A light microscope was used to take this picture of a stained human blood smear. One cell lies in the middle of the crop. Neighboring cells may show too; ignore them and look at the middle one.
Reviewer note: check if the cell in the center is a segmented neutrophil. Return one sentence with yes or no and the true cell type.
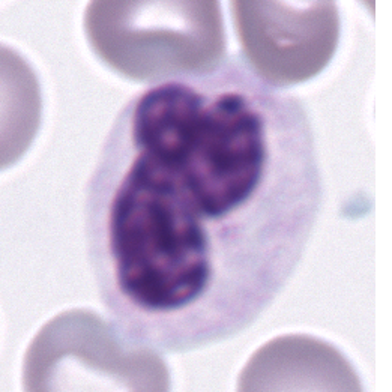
Yes, it is a segmented neutrophil that is seen at the centre of the crop.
